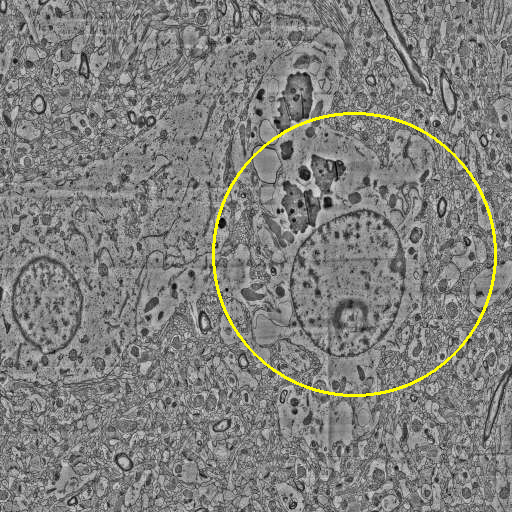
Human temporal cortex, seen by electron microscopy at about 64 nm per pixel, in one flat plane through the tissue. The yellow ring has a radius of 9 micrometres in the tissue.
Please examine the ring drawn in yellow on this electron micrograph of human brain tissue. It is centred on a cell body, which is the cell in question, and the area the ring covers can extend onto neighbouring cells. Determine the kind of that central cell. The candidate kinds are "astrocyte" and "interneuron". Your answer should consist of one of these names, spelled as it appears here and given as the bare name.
astrocyte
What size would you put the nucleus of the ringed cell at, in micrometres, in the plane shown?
In this plane, the nucleus of the cell at the centre of the ring measures about 10 by 7 micrometres.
